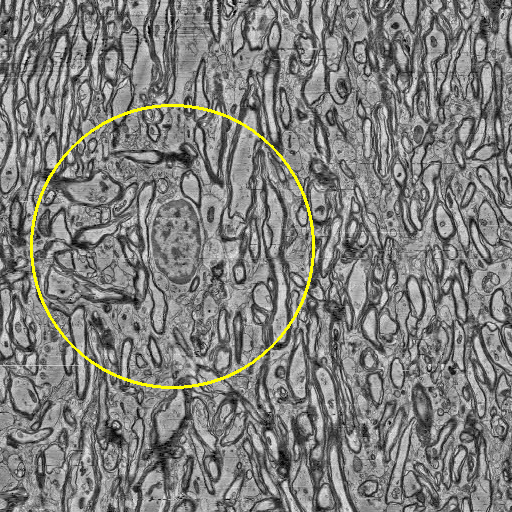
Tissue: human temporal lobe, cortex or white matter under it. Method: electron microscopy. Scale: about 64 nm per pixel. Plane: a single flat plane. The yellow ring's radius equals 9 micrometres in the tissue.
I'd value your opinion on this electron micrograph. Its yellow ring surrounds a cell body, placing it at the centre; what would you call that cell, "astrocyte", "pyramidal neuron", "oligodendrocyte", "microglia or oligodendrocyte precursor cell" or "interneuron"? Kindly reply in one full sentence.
It is a microglial cell or oligodendrocyte precursor cell that sits centred within the yellow ring in this micrograph.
